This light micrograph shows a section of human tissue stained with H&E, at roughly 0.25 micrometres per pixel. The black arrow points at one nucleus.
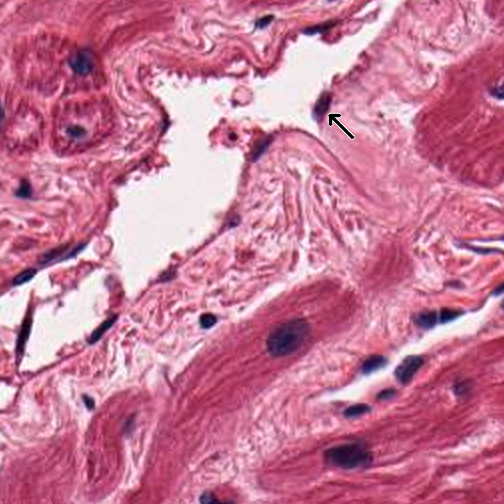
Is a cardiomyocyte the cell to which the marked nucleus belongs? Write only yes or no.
no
